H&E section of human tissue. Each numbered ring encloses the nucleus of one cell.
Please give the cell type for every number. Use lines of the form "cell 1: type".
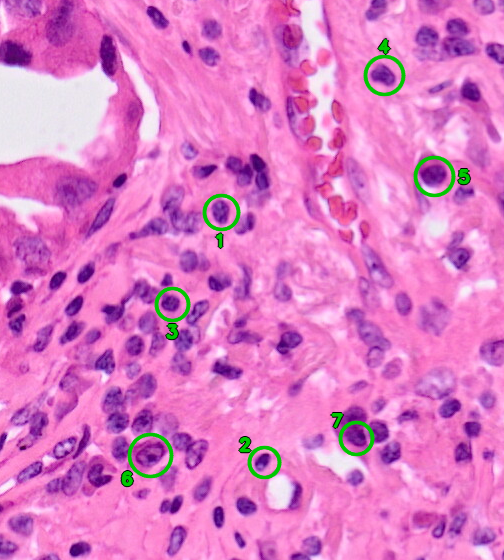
cell 1: lymphocyte
cell 2: lymphocyte
cell 3: lymphocyte
cell 4: lymphocyte
cell 5: plasma cell
cell 6: plasma cell
cell 7: plasma cell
